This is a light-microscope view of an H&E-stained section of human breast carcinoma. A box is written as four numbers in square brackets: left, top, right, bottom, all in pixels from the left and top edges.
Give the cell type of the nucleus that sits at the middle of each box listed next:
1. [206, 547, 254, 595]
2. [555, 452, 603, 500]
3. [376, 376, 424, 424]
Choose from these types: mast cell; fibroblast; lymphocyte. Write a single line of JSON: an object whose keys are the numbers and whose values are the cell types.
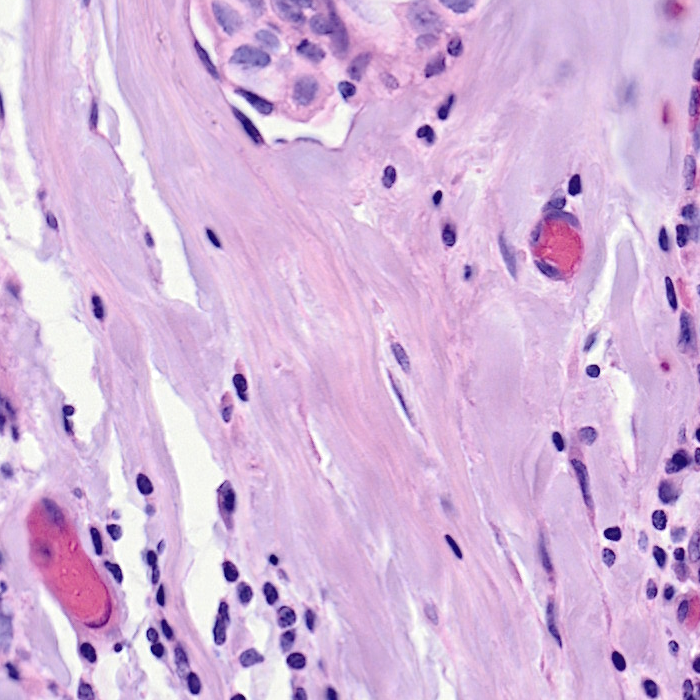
{"1": "lymphocyte", "2": "fibroblast", "3": "fibroblast"}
